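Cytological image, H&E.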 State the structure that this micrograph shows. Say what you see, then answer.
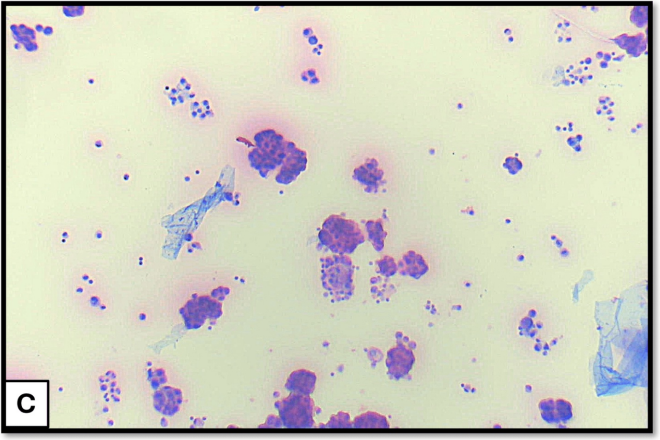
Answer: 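Cells are heaped into rounded, compact balls rather than flat sheets. The clusters lie scattered among single small round cells. On this evidence: three-dimensional clusters.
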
